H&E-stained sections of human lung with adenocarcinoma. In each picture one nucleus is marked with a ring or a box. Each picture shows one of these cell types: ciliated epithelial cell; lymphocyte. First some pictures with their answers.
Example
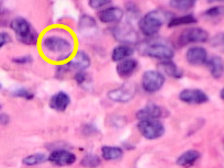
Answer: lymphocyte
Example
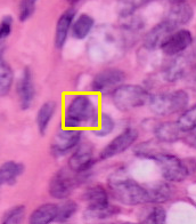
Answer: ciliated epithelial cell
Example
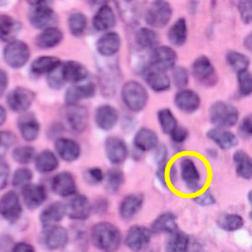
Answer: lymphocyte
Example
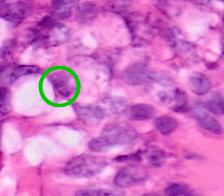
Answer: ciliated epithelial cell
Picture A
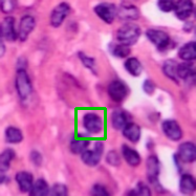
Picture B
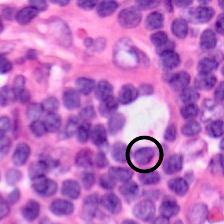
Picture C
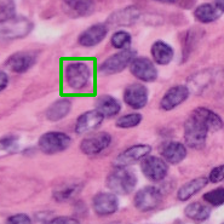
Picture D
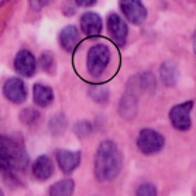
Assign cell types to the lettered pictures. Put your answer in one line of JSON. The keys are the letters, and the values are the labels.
{"A": "lymphocyte", "B": "lymphocyte", "C": "lymphocyte", "D": "lymphocyte"}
